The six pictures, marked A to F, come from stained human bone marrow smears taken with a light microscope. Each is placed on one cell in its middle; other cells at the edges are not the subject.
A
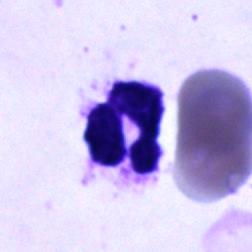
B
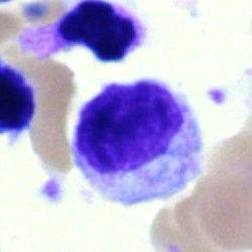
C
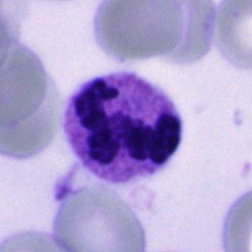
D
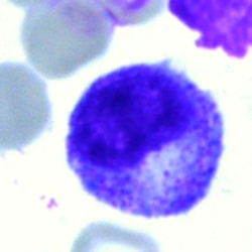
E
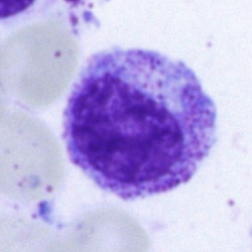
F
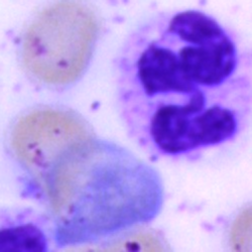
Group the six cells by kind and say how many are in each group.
segmented neutrophil: 3
myelocyte: 3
